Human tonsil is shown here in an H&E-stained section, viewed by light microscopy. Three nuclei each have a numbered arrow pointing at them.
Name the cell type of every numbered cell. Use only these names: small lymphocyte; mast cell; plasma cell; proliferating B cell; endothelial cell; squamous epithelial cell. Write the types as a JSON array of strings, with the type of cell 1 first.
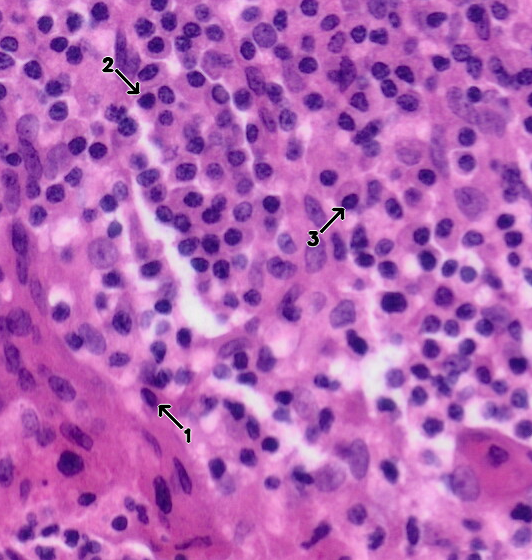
["squamous epithelial cell", "plasma cell", "plasma cell"]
